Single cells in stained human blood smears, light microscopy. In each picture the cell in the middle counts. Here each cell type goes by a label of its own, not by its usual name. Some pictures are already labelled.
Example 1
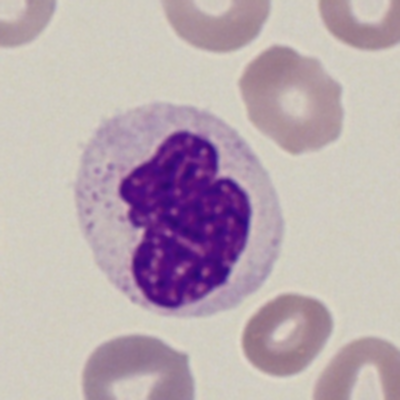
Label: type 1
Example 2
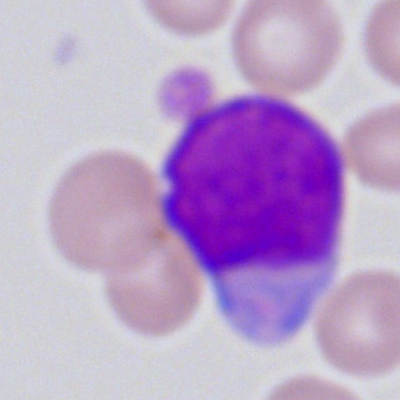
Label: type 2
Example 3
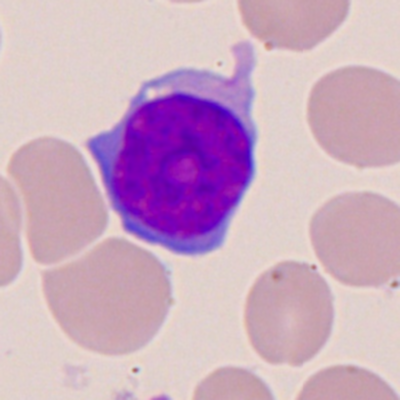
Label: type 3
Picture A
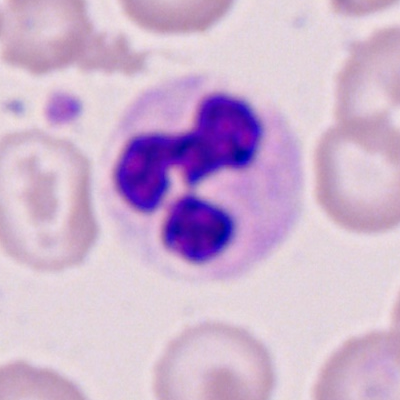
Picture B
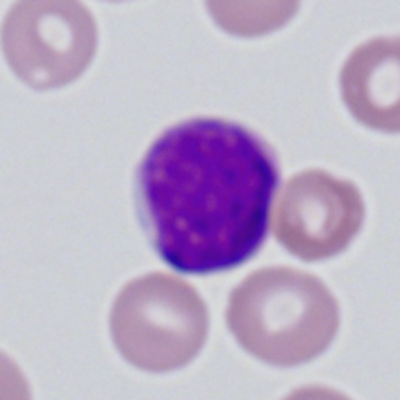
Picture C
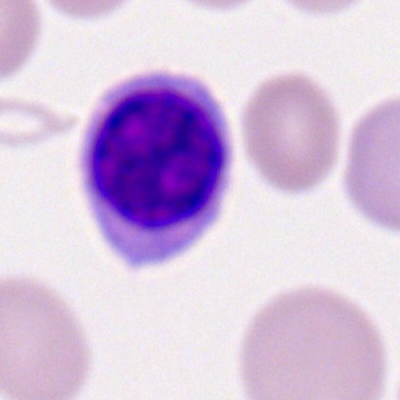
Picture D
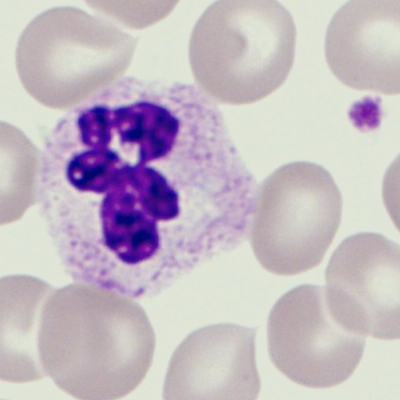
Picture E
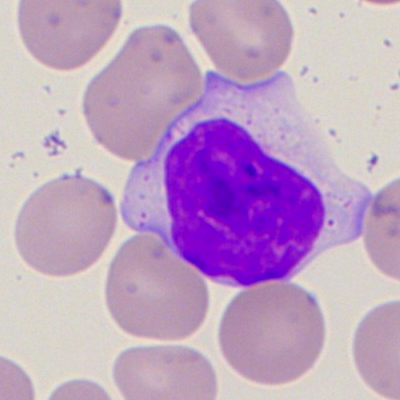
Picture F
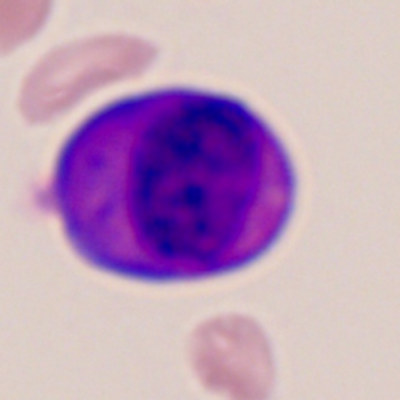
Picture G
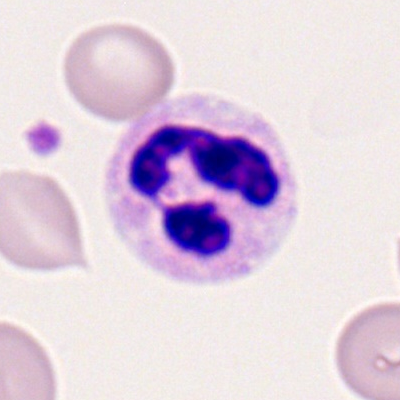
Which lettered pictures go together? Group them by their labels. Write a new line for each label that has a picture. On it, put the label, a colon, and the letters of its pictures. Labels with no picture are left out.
type 1: A, D, G
type 2: F
type 3: B, C, E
